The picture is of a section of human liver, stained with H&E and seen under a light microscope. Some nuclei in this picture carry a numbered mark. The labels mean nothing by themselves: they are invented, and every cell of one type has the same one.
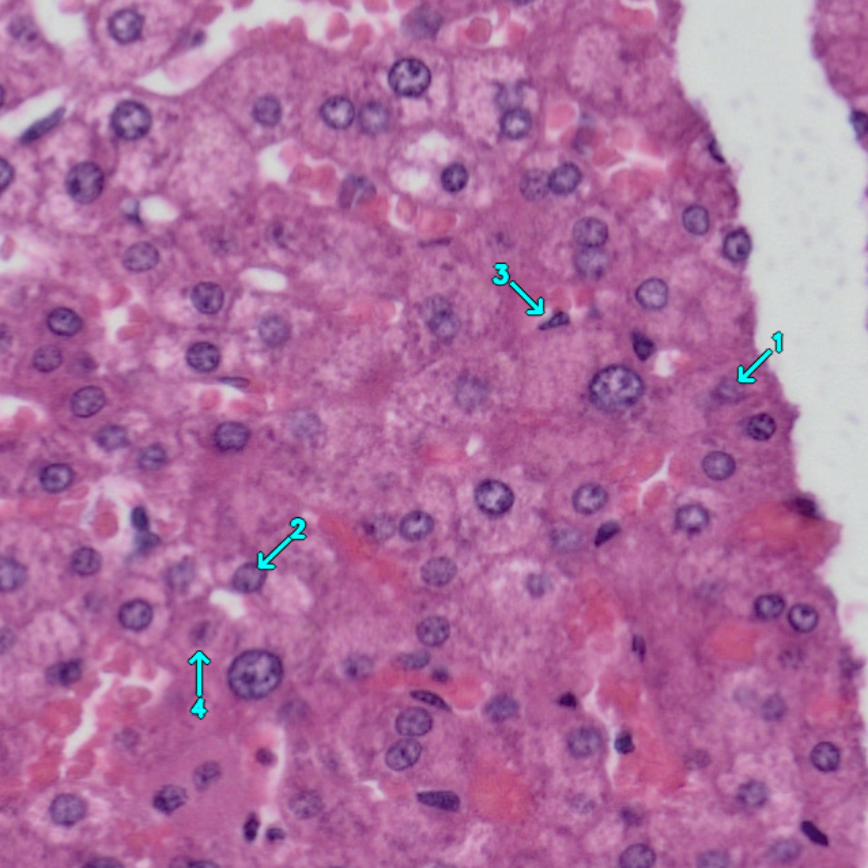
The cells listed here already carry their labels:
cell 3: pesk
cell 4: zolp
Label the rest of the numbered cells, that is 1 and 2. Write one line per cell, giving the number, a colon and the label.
1: zolp
2: zolp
